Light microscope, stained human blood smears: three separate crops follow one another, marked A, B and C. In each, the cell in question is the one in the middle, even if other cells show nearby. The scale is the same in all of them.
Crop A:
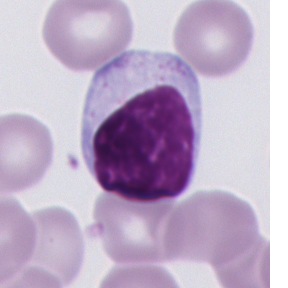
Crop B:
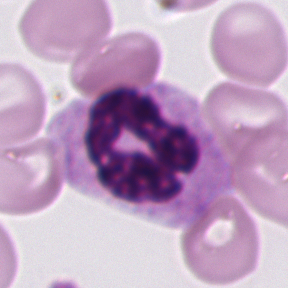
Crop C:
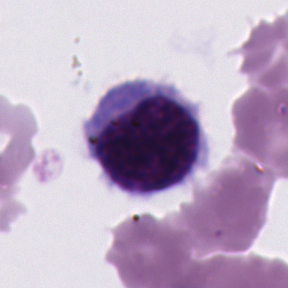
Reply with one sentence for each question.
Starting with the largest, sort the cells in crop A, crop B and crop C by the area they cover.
The order is B, A, C, beginning with the largest.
